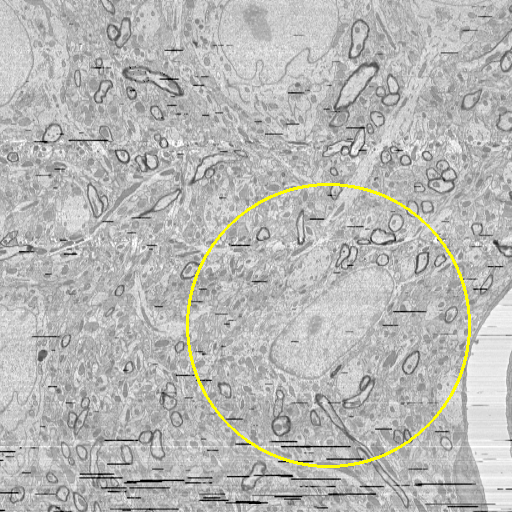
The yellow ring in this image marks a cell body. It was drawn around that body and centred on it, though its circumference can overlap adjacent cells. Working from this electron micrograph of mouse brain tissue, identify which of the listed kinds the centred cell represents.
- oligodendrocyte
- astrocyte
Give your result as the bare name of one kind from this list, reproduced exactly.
astrocyte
